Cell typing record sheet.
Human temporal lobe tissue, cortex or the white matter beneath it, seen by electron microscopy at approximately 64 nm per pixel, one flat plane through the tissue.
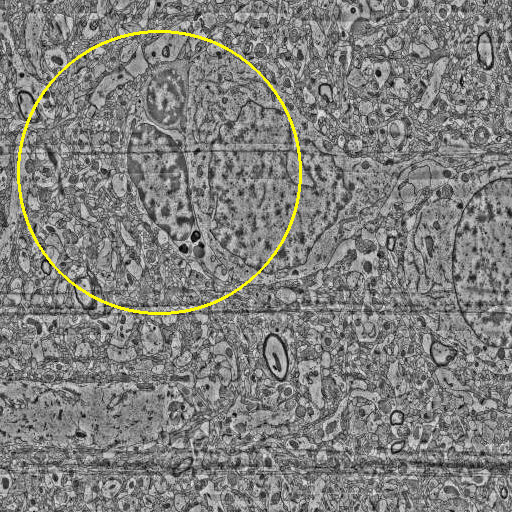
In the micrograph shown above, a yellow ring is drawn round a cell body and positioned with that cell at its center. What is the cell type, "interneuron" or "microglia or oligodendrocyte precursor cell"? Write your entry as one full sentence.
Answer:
The cell body at the center of the ring belongs to a microglial cell or oligodendrocyte precursor cell.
